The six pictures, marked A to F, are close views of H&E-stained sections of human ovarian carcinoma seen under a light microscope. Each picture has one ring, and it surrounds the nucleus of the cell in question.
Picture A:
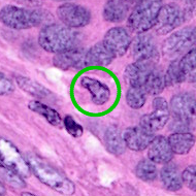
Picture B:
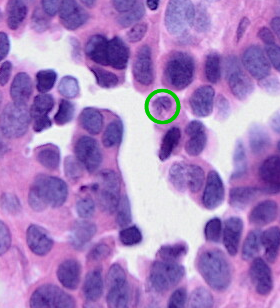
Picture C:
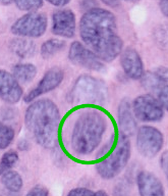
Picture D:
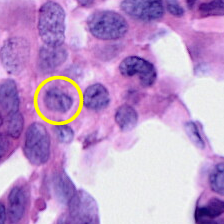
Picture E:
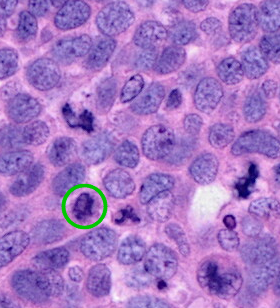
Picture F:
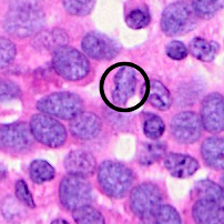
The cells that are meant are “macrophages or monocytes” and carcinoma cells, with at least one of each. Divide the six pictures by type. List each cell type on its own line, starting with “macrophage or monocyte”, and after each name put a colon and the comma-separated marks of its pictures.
macrophage or monocyte: A, B, D, F
carcinoma cell: C, E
